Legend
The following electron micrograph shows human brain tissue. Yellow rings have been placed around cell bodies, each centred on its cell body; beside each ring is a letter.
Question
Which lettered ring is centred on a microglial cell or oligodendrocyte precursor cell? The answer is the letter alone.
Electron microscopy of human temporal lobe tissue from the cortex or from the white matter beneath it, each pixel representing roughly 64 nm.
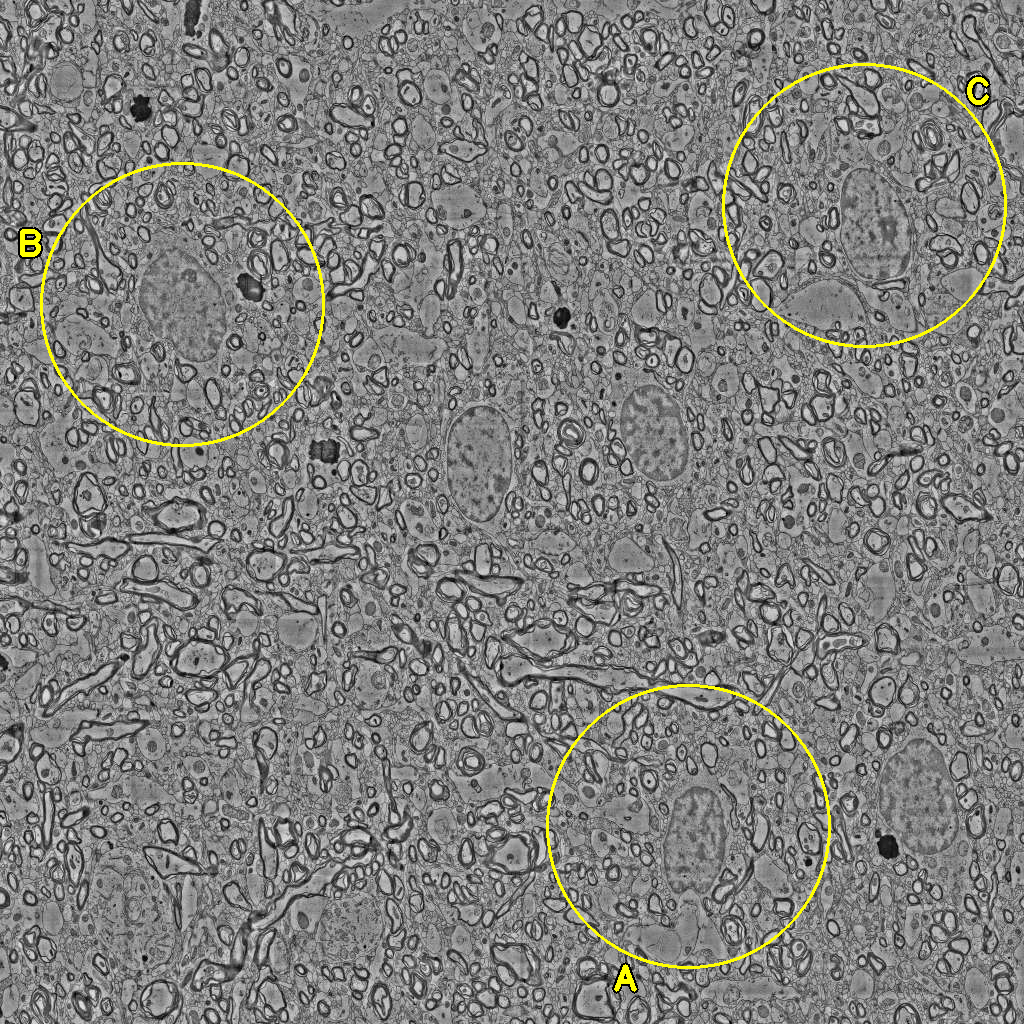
C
